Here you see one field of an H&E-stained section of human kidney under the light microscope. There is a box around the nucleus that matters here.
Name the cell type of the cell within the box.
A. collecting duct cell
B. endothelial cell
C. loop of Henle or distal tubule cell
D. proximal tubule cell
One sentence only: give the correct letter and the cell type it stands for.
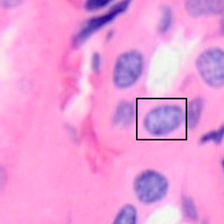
Option A holds, since the cell within the box is a collecting duct cell.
